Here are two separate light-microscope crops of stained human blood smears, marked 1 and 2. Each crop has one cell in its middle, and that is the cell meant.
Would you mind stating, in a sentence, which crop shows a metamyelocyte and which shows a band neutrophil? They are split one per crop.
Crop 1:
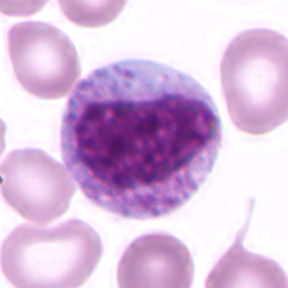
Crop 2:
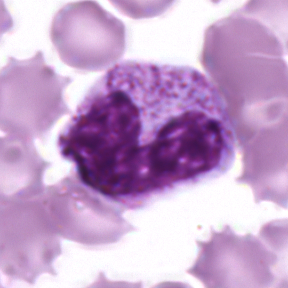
Crop 1 is to be labelled a metamyelocyte, and crop 2 a band neutrophil.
